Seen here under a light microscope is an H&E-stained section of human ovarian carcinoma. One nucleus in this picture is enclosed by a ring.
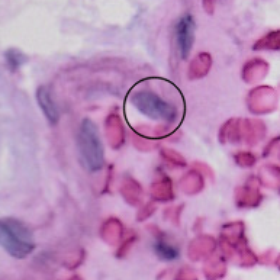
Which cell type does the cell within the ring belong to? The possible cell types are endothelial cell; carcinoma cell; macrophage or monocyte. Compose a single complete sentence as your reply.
Histopathologically, the cell within the ring is an endothelial cell.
